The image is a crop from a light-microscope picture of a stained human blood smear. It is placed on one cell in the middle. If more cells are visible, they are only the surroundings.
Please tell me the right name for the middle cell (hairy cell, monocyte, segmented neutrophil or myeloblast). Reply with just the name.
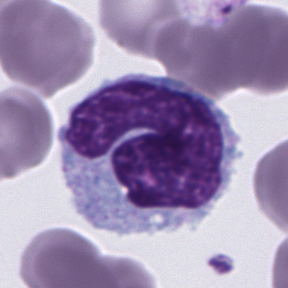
monocyte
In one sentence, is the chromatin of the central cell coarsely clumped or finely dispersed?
The chromatin shows a fine pattern without coarse clumps.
